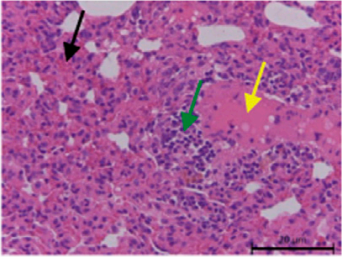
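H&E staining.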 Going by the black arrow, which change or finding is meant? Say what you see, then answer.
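The arrow points to broad, cell-rich tissue between air spaces. Alveolar spaces are small and few across the panel. So: thickened alveolar septum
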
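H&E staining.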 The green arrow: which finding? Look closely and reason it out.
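The arrow points to a dense cluster of small, dark, round nuclei. The cluster stands out from the surrounding tissue by its crowded dark nuclei. So: inflammatory cell infiltration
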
